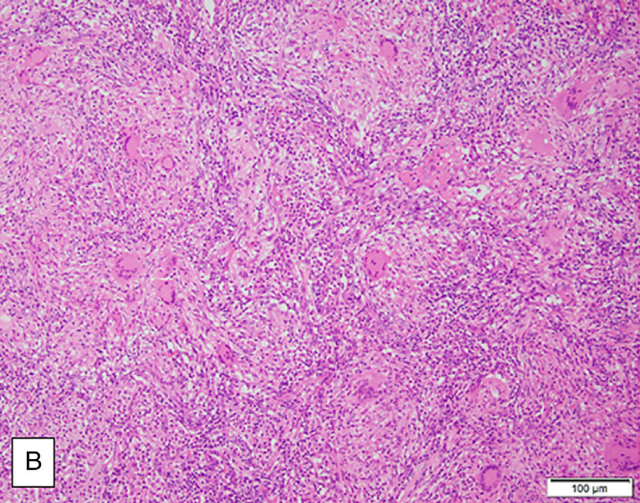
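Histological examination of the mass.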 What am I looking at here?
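This section shows granulomatous inflammation made of epithelioid cell granulomas with multinucleated giant cells. Pale pink aggregates of elongated cells with oval nuclei form ill-defined nodules. Large cells with abundant pink cytoplasm and many nuclei are scattered throughout these aggregates. Between the nodules lie denser bands of small cells with dark round nuclei. No normal organ structure is seen in the field.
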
